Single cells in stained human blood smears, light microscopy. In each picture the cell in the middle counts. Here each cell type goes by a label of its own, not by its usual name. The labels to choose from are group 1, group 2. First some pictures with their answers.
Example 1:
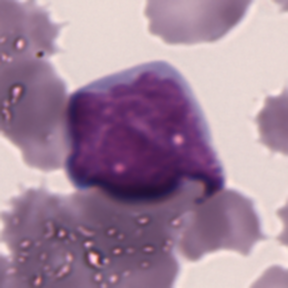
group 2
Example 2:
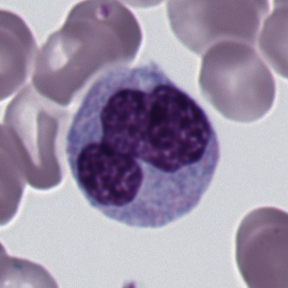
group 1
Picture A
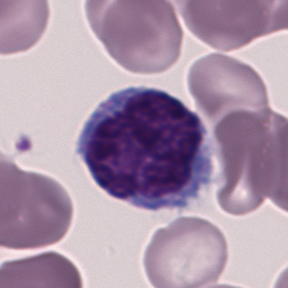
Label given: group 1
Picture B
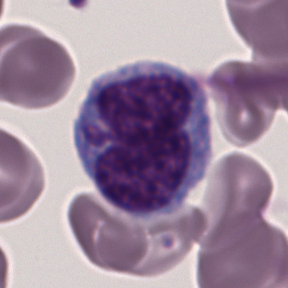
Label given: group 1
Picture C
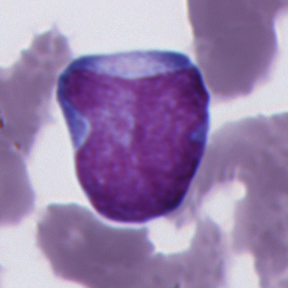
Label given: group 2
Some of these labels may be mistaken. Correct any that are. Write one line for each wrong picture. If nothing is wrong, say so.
All labels are correct.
